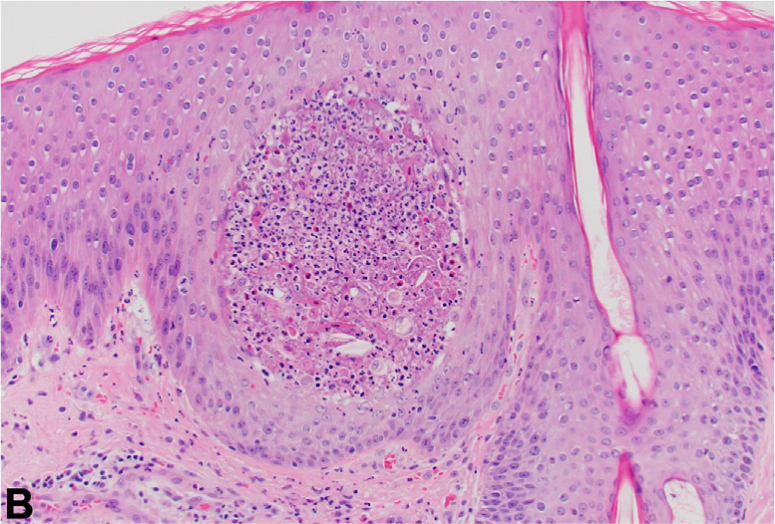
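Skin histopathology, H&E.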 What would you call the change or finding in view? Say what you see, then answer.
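Intraepidermal eosinophilic and neutrophilic pustule. A rounded collection of inflammatory cells lies within the epidermis, surrounded by squamous cells. A hair shaft lies in the epidermis to the right of the collection.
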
